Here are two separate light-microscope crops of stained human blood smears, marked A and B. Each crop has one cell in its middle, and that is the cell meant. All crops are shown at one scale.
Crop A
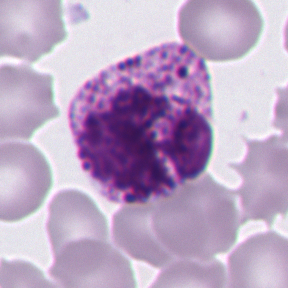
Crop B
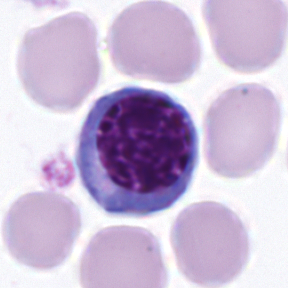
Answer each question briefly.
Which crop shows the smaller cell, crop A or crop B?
B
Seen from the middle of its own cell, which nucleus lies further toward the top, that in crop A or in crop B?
B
